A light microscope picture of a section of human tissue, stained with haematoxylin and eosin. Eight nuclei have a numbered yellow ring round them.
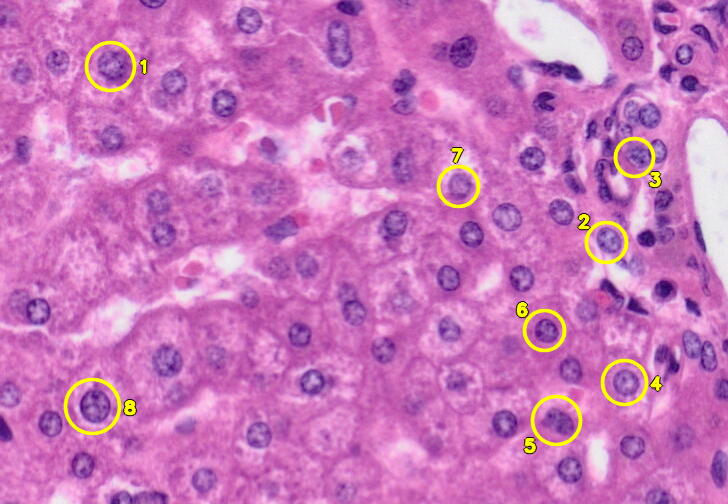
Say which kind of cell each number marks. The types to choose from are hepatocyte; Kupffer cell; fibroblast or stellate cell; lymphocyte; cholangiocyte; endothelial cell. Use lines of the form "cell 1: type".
cell 1: hepatocyte
cell 2: cholangiocyte
cell 3: cholangiocyte
cell 4: hepatocyte
cell 5: Kupffer cell
cell 6: hepatocyte
cell 7: hepatocyte
cell 8: hepatocyte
